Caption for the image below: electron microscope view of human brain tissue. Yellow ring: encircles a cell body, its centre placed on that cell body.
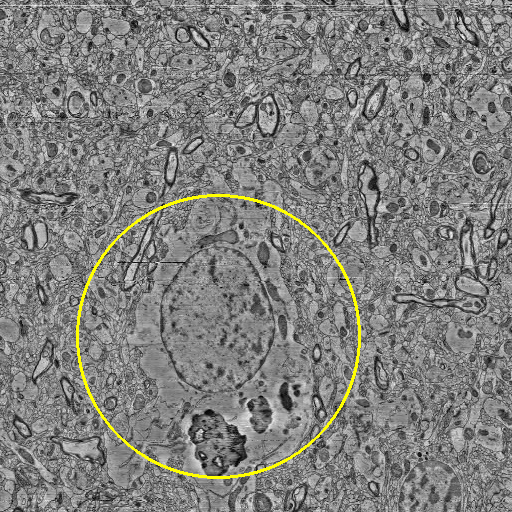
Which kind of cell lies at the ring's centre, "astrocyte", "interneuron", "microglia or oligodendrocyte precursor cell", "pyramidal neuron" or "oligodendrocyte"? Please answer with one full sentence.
The picture shows an astrocyte at the centre of the yellow ring.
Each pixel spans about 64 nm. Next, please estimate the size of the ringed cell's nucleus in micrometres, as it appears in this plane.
In this plane, roughly 10 by 7 micrometres.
